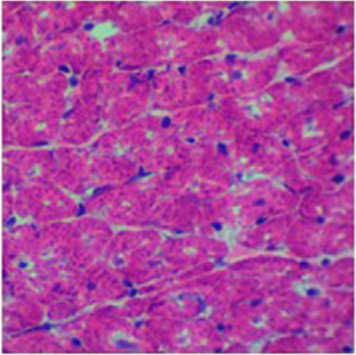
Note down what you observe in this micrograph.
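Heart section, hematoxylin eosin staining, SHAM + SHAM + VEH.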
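Myocardium cut transversely, cardiac myocytes seen in cross-section. The myocytes form closely packed polygonal profiles of fairly even size with pink cytoplasm showing a fine stippled, granular texture. Dark blue oval nuclei lie within some profiles, often near the centre. Between the myocytes run thin, pale blue-green interstitial spaces containing small elongated dark nuclei of interstitial cells. The tissue is compact, with little interstitial widening.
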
